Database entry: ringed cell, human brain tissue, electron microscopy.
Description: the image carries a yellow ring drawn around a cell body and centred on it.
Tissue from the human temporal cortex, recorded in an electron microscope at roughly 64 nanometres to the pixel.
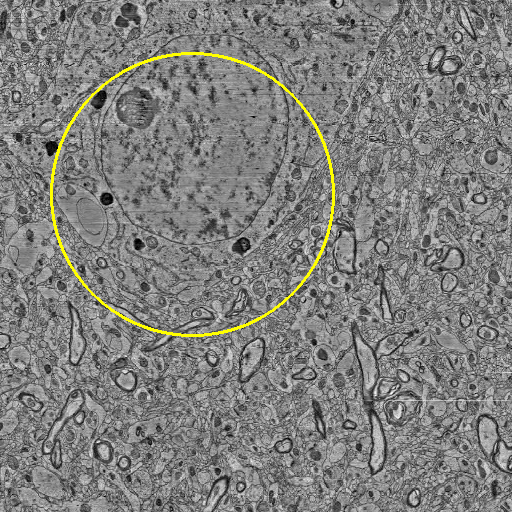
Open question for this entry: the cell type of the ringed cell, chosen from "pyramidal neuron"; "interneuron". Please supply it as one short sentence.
The ringed cell is a pyramidal neuron.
